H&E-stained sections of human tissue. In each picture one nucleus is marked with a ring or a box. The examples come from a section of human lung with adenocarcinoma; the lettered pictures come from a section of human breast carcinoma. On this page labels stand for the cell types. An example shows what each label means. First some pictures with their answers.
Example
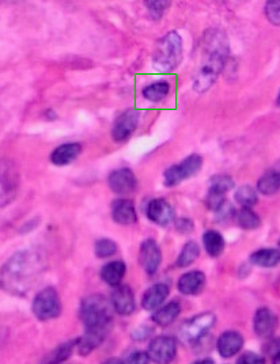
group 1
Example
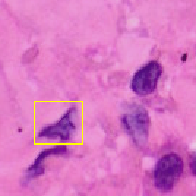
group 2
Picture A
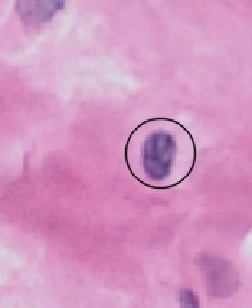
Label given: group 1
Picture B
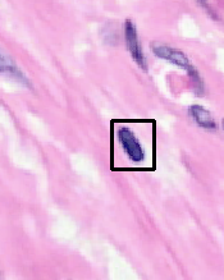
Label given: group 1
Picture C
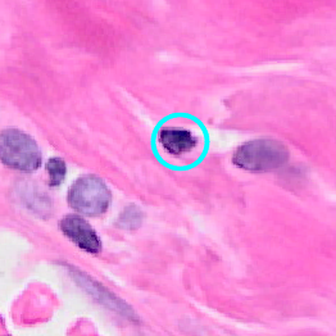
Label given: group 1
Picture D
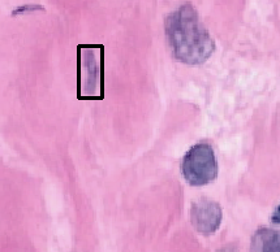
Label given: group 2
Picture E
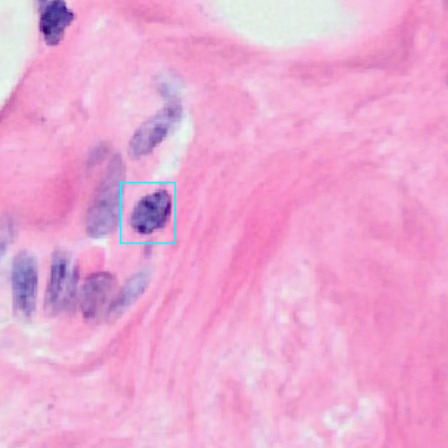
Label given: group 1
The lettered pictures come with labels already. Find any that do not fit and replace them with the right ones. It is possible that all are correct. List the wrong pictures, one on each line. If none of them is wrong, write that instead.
No label is wrong.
